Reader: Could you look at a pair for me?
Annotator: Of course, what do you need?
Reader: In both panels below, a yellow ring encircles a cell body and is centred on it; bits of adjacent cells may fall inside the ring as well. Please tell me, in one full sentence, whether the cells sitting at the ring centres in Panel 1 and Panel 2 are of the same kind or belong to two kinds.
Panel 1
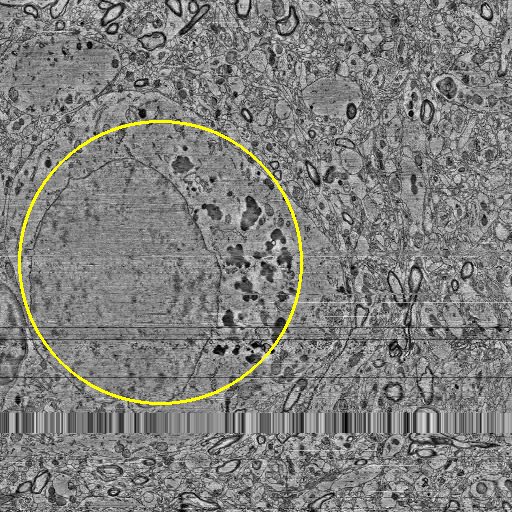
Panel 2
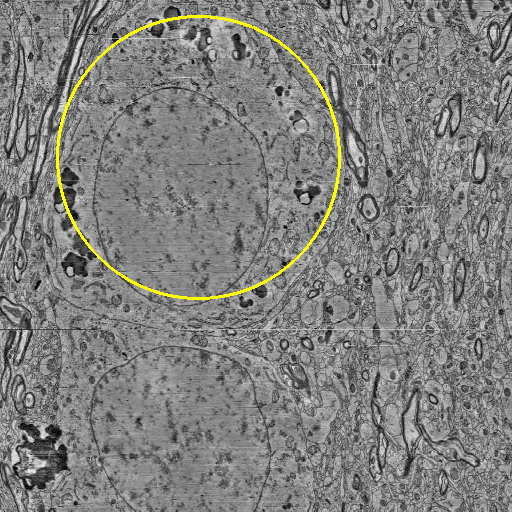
The cell at the ring's centre in Panel 1 and the one in Panel 2 are of the same kind.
